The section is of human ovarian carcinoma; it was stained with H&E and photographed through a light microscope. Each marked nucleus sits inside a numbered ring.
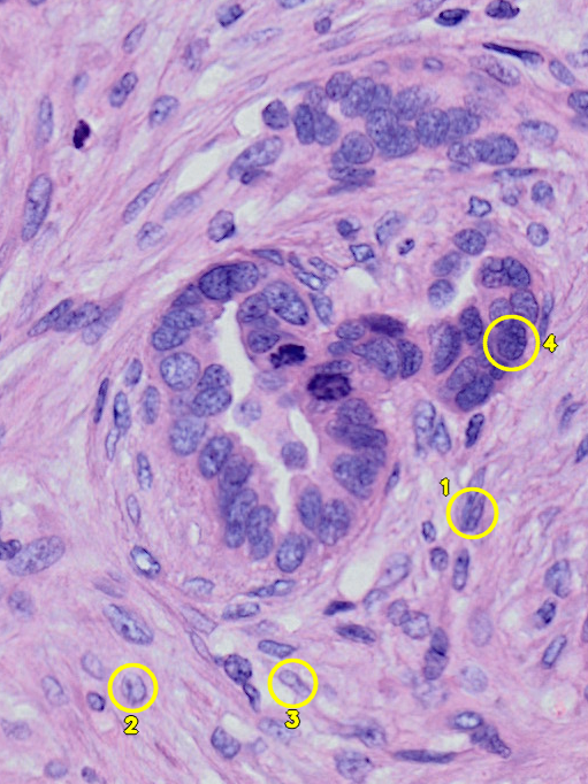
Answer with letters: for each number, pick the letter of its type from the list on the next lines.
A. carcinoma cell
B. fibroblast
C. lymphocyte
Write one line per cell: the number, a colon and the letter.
1: B
2: B
3: B
4: A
